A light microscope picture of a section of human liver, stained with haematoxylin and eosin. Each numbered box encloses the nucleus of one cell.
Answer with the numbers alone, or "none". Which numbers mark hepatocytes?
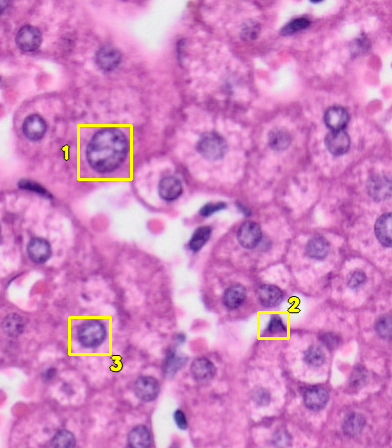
1, 3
